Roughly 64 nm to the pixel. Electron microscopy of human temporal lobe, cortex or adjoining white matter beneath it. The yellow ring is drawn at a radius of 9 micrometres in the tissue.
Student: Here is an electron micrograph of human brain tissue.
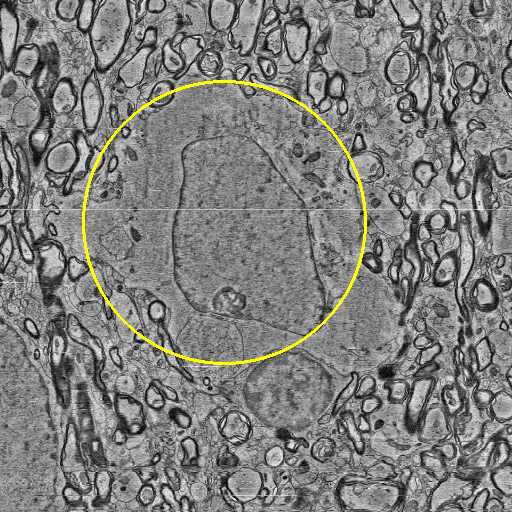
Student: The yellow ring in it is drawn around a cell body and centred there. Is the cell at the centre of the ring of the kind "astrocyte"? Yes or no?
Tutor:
yes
